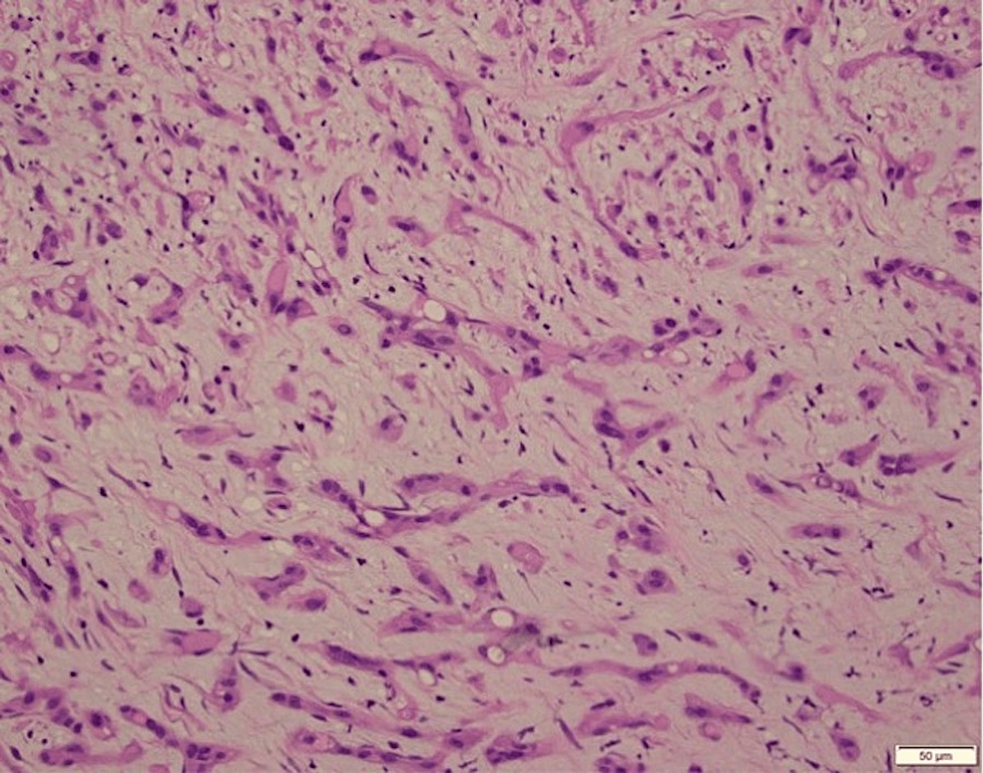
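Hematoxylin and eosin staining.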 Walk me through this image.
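Epithelioid cells arranged mostly in narrow cords and strands set in a pale, hyalinized and myxoid stroma. The cells are plump and elongated, with abundant pink cytoplasm and oval purple nuclei. Scattered cells contain round clear cytoplasmic vacuoles.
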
